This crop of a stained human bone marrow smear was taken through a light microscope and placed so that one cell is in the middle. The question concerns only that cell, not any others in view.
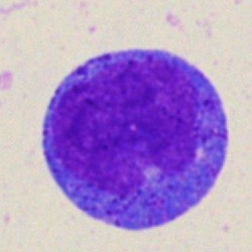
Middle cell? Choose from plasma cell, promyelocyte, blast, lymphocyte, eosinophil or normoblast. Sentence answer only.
The cell in the exact centre of the crop is a promyelocyte.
